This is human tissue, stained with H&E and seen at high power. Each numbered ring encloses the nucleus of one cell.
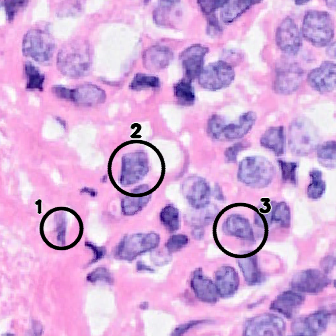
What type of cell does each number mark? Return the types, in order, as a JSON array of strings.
["fibroblast", "carcinoma cell", "carcinoma cell"]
